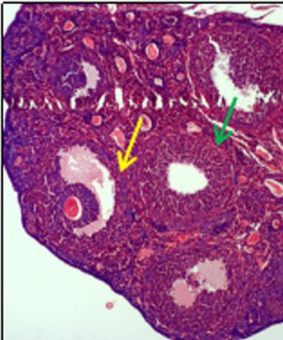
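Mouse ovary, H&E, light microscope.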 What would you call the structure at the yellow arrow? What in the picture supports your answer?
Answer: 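Antral follicle. The marked follicle has a large pale cavity. An oocyte lies within the follicle beside the cavity. A multilayered rim of granulosa cells surrounds the cavity.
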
